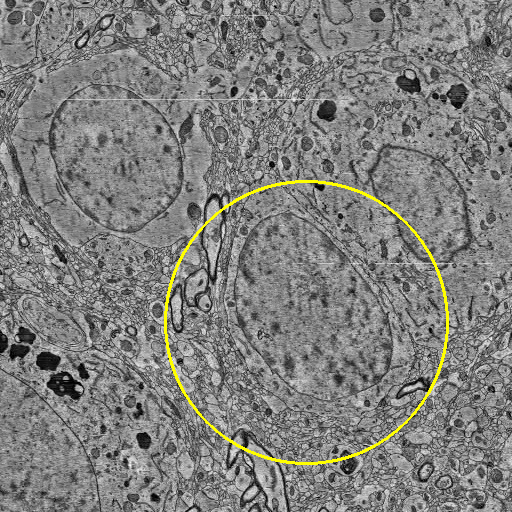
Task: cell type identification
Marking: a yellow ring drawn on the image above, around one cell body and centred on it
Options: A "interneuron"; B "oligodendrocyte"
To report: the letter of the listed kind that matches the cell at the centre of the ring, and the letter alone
A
